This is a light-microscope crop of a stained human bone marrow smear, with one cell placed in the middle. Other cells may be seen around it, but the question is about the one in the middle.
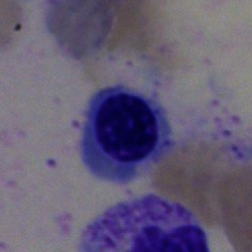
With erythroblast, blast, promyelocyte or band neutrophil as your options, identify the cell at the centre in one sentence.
In the centre of this crop there is an erythroblast.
